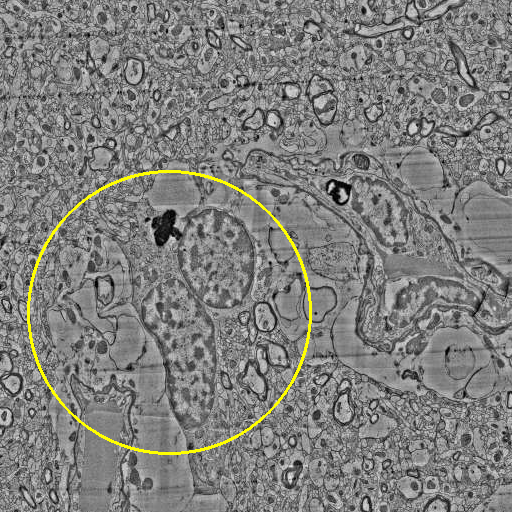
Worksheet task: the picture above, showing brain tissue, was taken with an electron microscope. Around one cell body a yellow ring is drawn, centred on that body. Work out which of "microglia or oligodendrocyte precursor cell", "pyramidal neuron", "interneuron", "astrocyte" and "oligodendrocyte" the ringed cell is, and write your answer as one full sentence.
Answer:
It is an oligodendrocyte whose cell body lies at the centre of the yellow ring.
